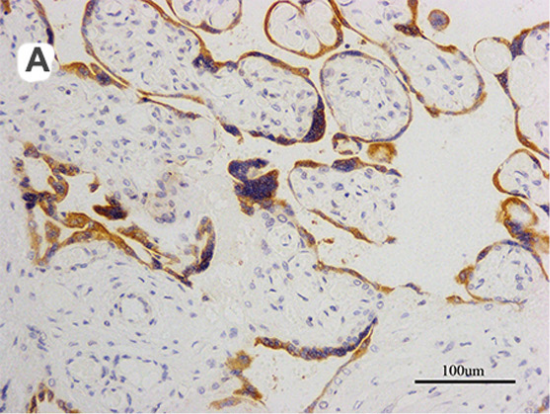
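Placental villi cut in cross section, each with a loose stroma of scattered blue nuclei, are covered by a thin surface layer of trophoblast cells that stains strongly brown. Dense clusters of dark nuclei bulge from the villous surfaces within brown cytoplasm, while the stromal cores stay pale. The brown stain is thus confined to the trophoblast covering of the villi.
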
